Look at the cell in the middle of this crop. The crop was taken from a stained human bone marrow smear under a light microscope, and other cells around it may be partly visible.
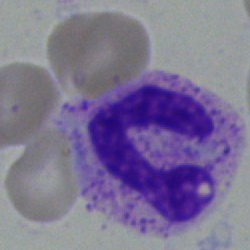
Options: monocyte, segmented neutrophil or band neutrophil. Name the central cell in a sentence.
The middle cell in this particular crop is a band neutrophil.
